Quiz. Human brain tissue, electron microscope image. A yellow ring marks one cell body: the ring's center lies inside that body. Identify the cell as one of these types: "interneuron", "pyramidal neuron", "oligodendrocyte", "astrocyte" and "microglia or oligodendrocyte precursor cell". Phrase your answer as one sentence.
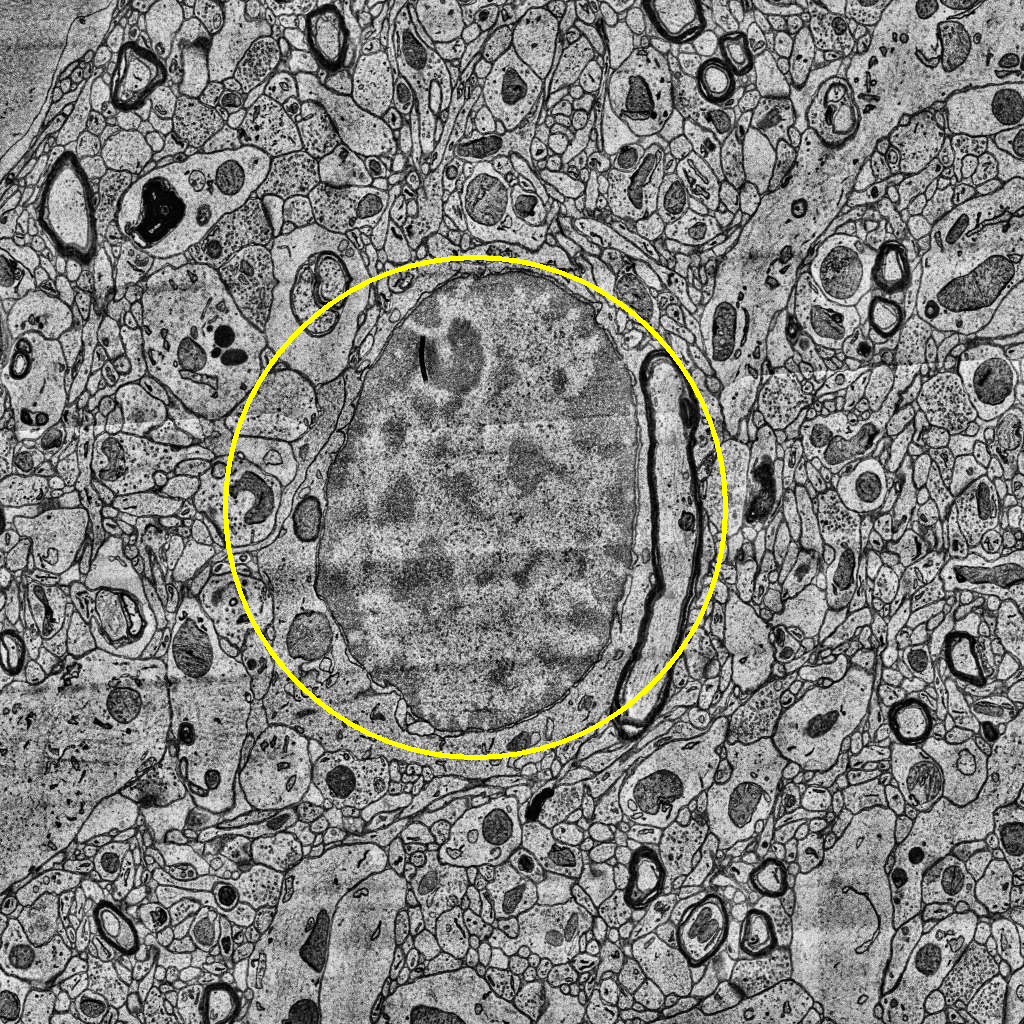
At the center of the ring sits an oligodendrocyte.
